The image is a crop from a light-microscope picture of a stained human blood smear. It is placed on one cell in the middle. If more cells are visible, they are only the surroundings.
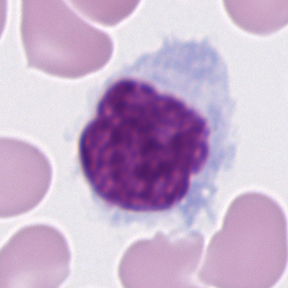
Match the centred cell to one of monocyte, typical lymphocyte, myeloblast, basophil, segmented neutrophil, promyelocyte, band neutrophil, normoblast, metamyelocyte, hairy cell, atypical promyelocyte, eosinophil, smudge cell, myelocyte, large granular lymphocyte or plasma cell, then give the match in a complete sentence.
In this smear crop, the middle cell is a hairy cell.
